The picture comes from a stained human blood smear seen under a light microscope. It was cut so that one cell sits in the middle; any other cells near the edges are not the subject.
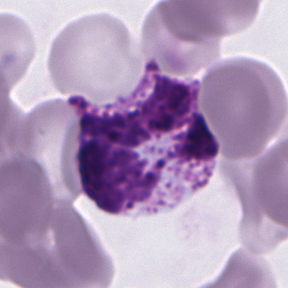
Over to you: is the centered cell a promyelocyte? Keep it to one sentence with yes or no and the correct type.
No, that guess of a promyelocyte misses; the central cell is a basophil.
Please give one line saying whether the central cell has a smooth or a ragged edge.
Irregularity marks the cell border, whether as raggedness or as projections.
